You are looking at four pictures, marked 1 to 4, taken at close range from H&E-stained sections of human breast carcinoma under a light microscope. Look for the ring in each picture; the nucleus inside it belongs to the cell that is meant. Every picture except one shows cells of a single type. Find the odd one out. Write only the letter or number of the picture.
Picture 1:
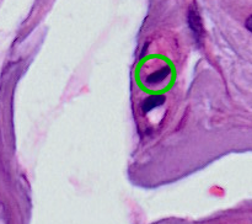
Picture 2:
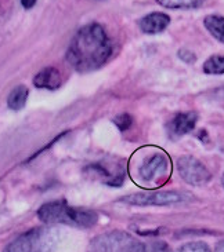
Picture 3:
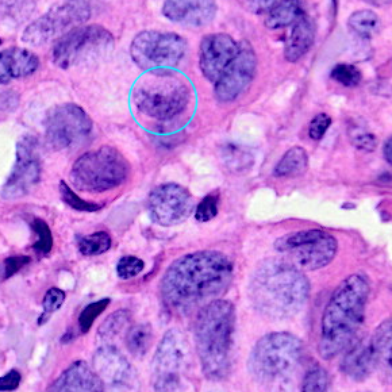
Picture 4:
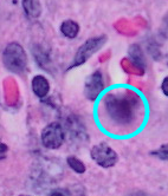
3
